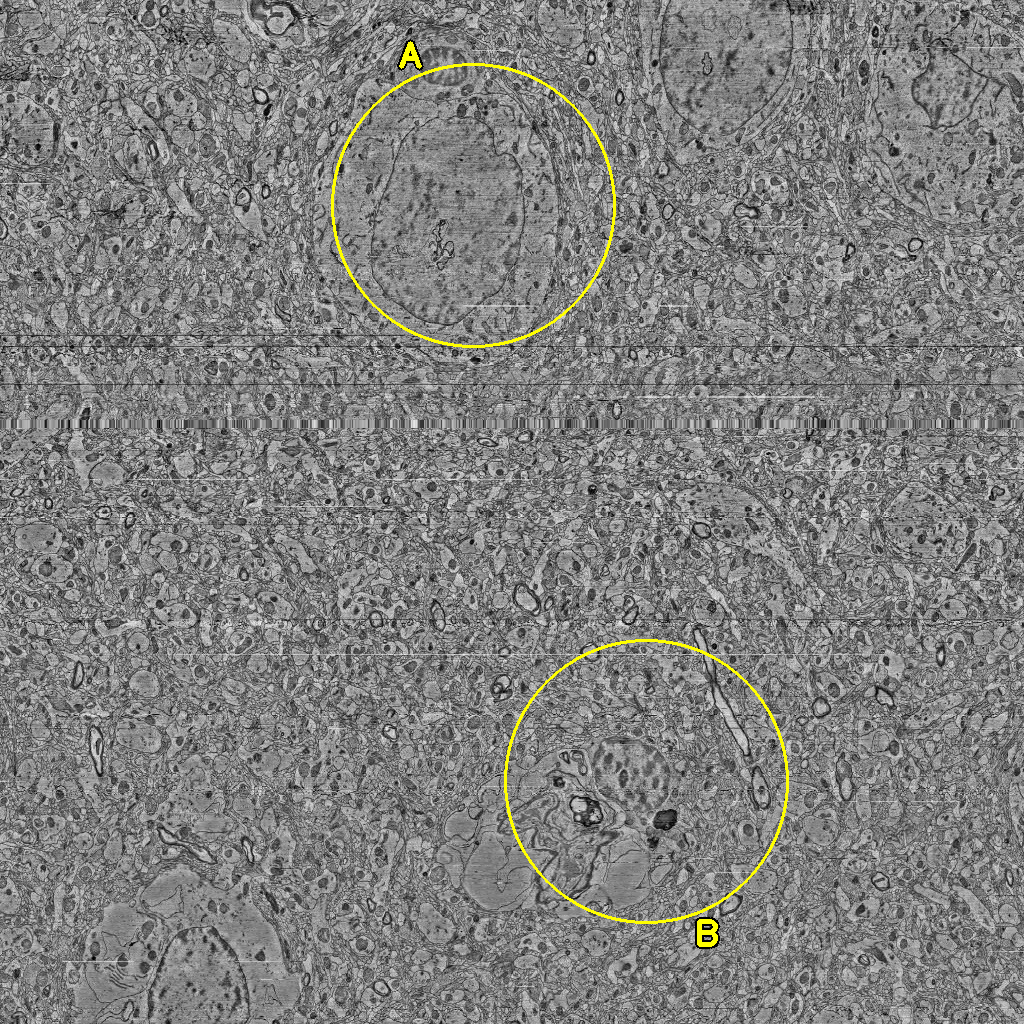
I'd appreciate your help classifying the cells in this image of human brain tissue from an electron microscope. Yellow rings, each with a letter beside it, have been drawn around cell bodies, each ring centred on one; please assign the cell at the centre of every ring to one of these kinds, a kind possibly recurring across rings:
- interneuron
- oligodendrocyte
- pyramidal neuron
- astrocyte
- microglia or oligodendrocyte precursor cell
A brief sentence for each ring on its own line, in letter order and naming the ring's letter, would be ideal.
In ring A, the central cell is a pyramidal neuron.
In ring B, the central cell is an oligodendrocyte.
